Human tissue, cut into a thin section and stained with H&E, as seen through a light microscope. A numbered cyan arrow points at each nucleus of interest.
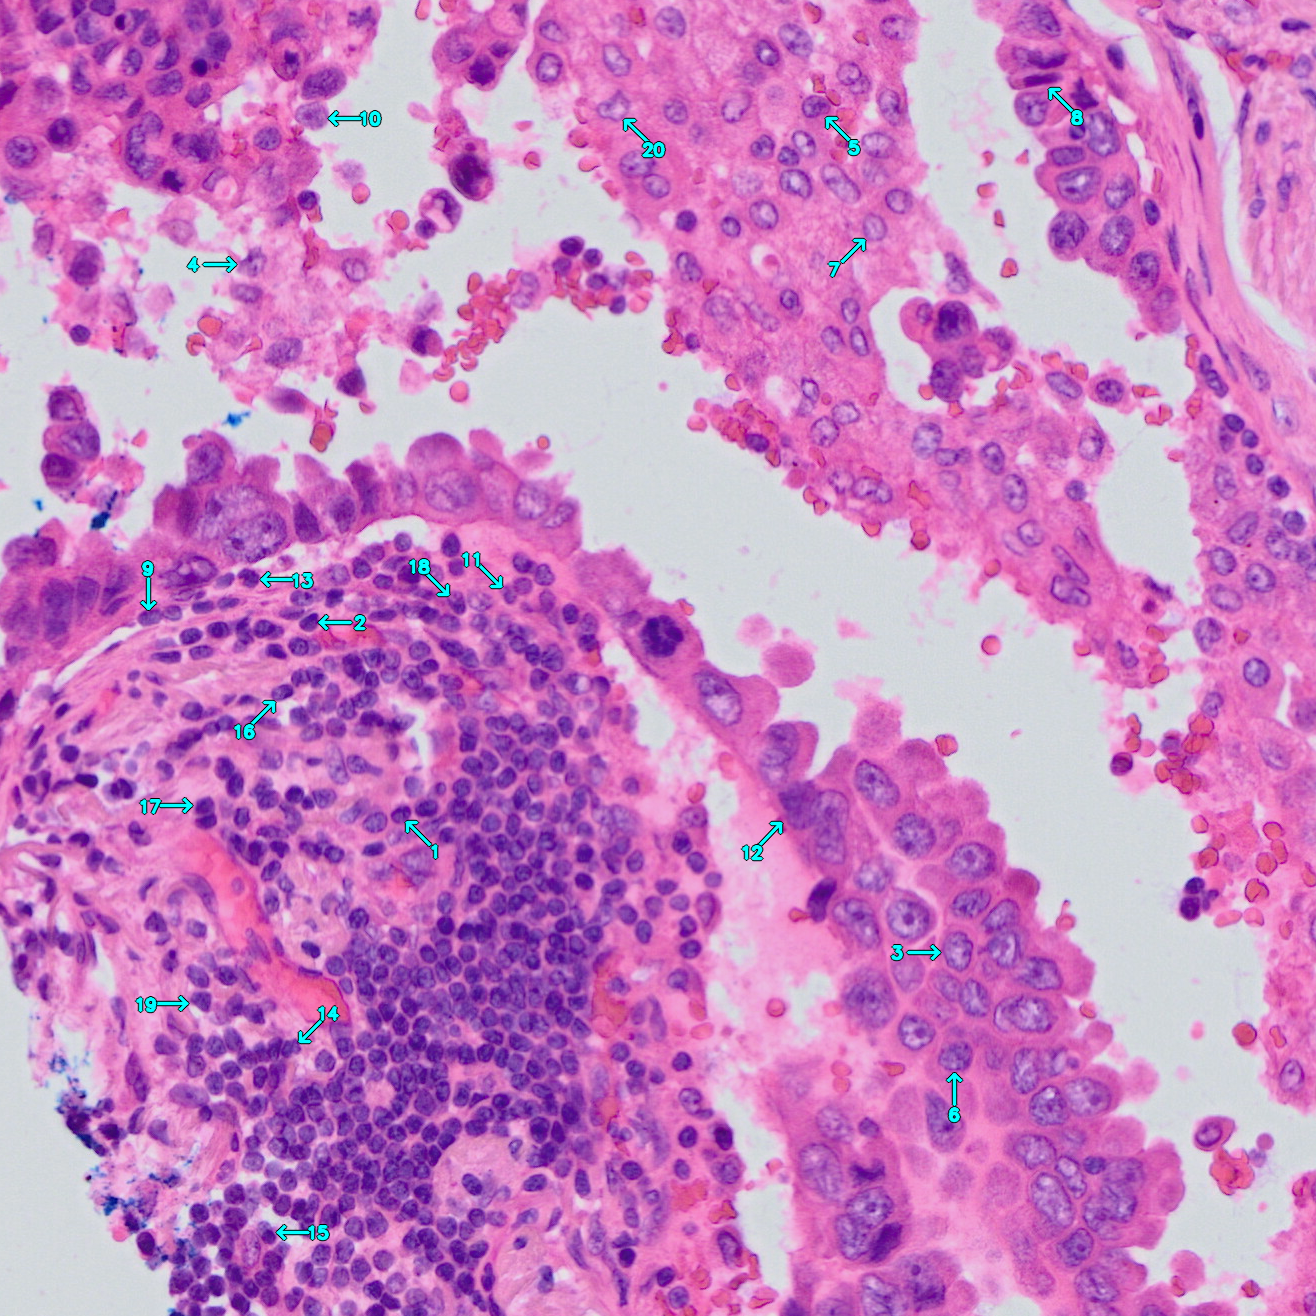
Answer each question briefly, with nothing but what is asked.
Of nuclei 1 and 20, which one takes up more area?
20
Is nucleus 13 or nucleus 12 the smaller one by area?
13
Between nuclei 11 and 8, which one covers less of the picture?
11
